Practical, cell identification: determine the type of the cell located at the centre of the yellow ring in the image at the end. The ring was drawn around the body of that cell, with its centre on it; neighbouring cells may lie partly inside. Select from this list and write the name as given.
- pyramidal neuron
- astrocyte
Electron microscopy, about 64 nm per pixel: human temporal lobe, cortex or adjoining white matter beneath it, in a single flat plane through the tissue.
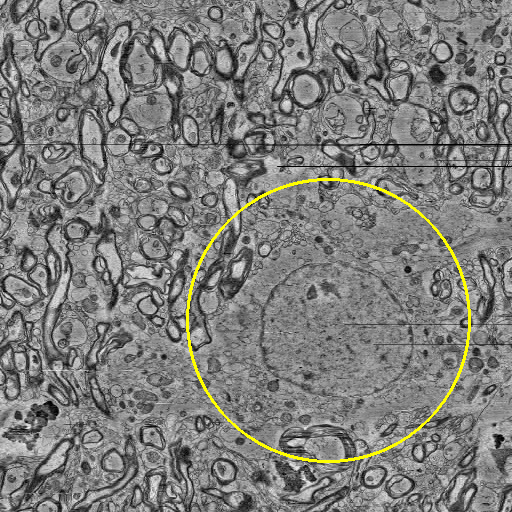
astrocyte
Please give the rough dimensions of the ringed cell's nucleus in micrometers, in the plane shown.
In this plane the ringed cell's nucleus is roughly 9 micrometres across.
